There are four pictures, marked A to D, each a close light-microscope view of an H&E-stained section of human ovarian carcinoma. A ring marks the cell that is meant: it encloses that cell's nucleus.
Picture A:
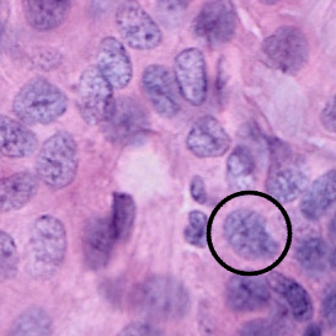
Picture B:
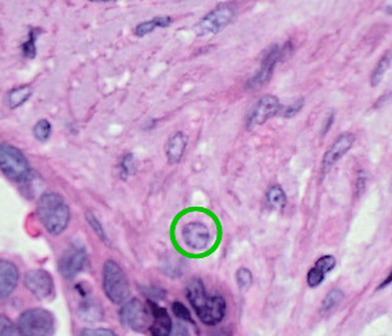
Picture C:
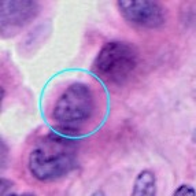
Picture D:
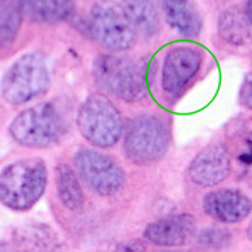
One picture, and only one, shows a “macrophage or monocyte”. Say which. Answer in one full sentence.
Picture B is the one that shows the “macrophage or monocyte”.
